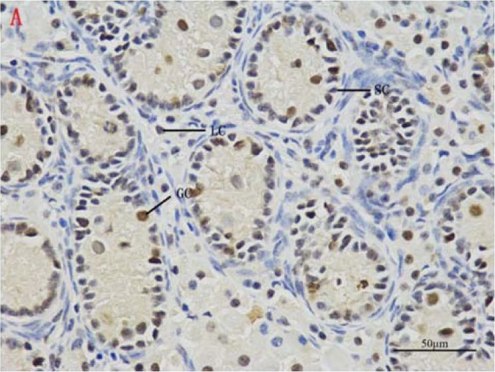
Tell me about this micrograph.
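This is testis tissue with germ cells and Sertoli cells arranged in rounded cords, separated by interstitial tissue containing Leydig cells. Each cord has a dense row of nuclei along its outer margin, while its centre is a pale, finely granular area without an open lumen. Many nuclei in the cords are stained brown, while others are blue from the counterstain. Scattered larger round brown nuclei stand out among the cells of the cords. Between the cords lie elongated, spindle-shaped blue nuclei of the surrounding tissue and interstitial cells.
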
